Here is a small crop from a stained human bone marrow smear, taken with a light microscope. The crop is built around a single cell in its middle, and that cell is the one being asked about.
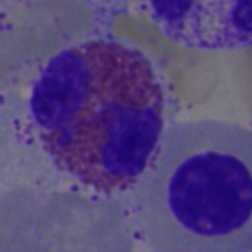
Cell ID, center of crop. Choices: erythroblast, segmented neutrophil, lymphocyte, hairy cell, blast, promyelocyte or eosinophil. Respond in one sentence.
This particular crop is centered on an eosinophil.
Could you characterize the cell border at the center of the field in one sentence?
The cell membrane follows an uneven contour, either ragged or bearing projections.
